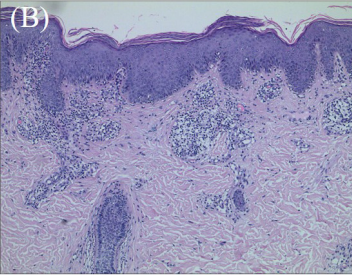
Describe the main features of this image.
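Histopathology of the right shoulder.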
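This is a section of skin whose epidermis is thickened, with rete ridges of uneven length and shape projecting into the dermis. Beneath it, in the upper dermis, small dark round nuclei of inflammatory cells gather in clusters around small vessels. The deeper dermis consists of pink collagen bundles, with a hair follicle cut near the bottom.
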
